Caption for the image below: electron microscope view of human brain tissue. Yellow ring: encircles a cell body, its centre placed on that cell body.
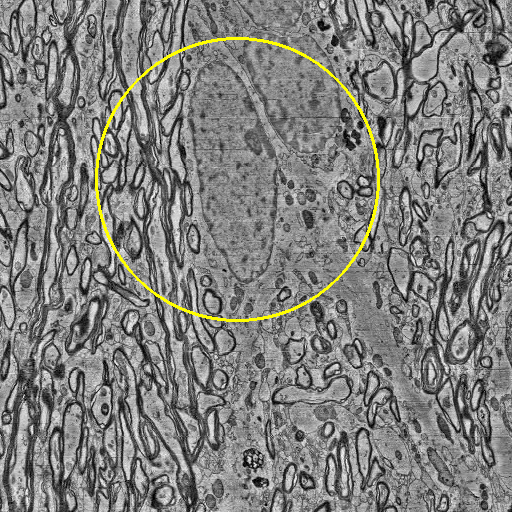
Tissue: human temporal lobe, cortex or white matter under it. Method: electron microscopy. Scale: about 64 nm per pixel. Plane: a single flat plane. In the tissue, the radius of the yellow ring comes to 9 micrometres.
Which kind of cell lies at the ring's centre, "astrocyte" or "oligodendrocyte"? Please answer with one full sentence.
The picture shows an astrocyte at the centre of the yellow ring.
